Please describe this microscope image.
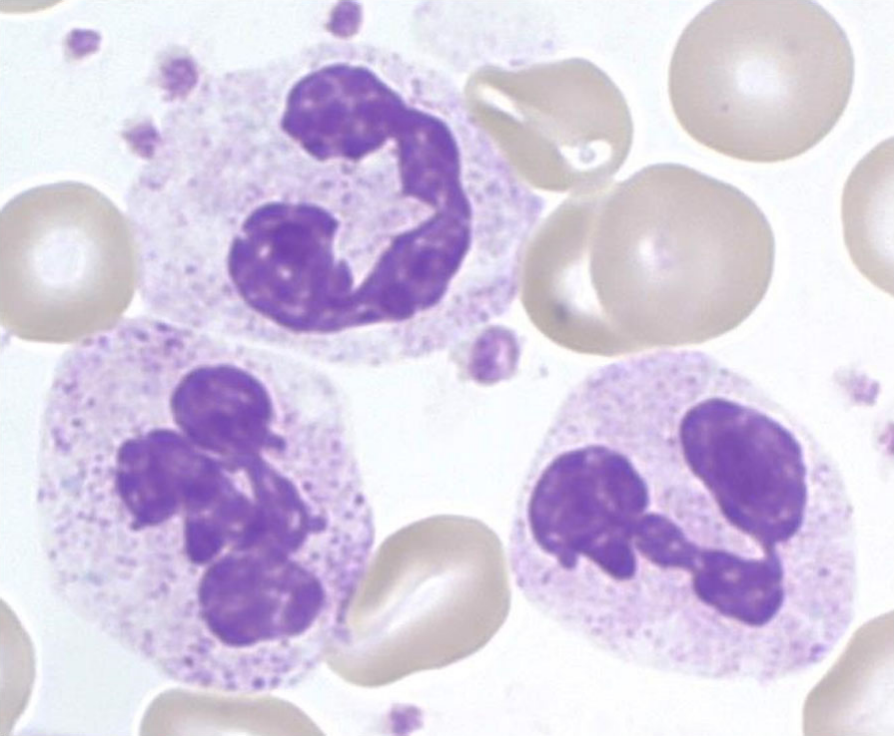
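These are segmented neutrophil granulocytes in a blood smear, three of them lying together among pale, disc-shaped red cells that have no nucleus. Each white cell has a dark purple nucleus with clumped chromatin, split into several rounded lobes linked by thin strands, though in the upper cell the nucleus is a curved, less sharply divided band. The wide cytoplasm is pale lilac and dusted with fine granules, and small purple platelets lie scattered between the cells.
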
